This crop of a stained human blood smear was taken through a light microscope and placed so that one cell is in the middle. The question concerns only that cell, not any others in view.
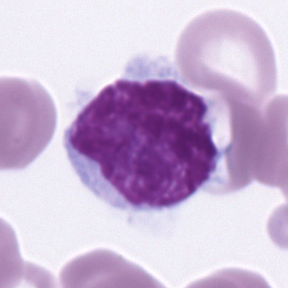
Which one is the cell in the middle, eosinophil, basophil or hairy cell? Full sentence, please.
The cell of interest, in the center, is a hairy cell.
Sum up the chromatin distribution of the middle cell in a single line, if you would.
Chromatin in the nucleus here is coarsely clumped.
